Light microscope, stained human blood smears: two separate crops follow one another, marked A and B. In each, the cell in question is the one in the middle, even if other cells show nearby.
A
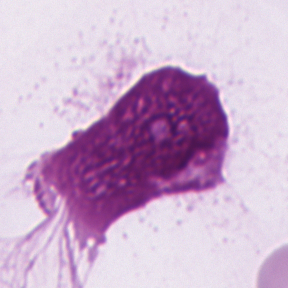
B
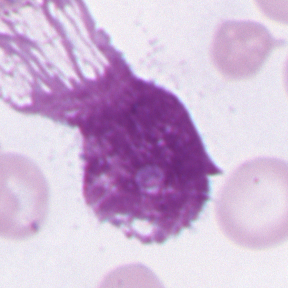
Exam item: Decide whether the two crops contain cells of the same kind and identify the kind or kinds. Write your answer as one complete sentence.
Yes, both crops show smudge cells, each crop centred on one of them.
